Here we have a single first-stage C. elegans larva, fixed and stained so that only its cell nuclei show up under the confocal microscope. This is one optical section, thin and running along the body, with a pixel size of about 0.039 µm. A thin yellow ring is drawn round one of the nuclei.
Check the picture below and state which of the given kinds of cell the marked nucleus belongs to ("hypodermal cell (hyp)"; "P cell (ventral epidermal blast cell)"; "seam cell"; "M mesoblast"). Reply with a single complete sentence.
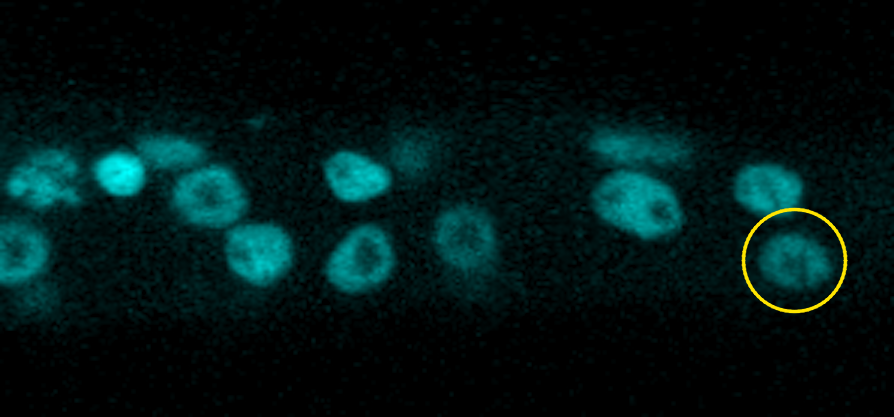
It belongs to a hypodermal cell (hyp).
